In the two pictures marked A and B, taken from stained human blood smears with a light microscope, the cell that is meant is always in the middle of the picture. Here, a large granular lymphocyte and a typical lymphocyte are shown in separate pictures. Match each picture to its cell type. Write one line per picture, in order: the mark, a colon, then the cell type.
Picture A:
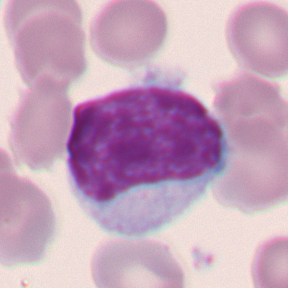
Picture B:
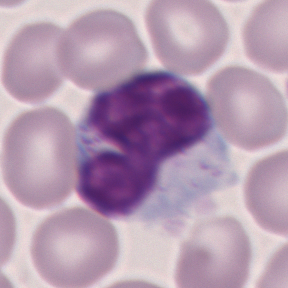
A: typical lymphocyte
B: large granular lymphocyte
